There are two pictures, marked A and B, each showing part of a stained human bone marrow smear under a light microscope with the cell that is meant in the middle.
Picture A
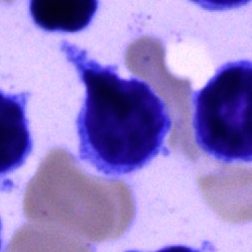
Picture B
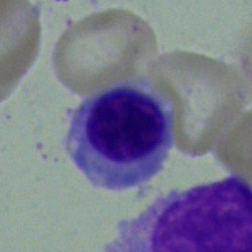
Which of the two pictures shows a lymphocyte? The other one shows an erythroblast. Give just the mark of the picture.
A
